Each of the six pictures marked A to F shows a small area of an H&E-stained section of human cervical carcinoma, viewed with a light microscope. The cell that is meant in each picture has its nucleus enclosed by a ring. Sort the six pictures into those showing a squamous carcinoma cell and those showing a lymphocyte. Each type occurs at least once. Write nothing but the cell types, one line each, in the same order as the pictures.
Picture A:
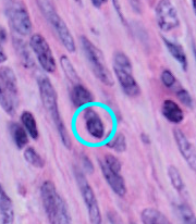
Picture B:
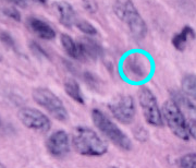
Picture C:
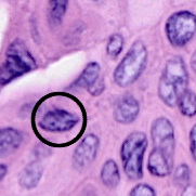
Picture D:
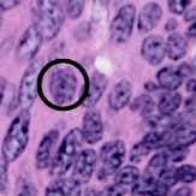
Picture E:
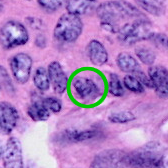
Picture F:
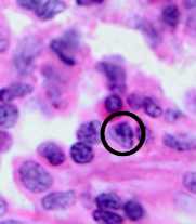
lymphocyte
squamous carcinoma cell
squamous carcinoma cell
squamous carcinoma cell
squamous carcinoma cell
lymphocyte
